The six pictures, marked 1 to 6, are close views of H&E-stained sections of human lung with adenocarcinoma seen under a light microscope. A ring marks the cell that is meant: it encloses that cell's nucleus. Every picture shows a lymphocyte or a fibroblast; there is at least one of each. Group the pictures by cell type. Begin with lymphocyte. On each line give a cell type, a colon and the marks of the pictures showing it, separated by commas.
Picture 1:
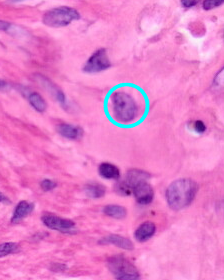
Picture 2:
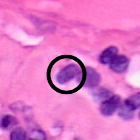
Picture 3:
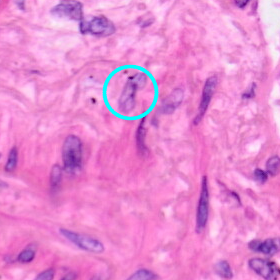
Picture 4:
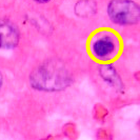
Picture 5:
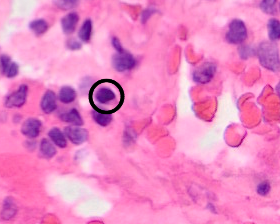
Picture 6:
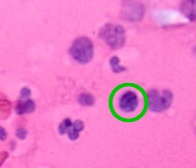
lymphocyte: 2, 4, 5, 6
fibroblast: 1, 3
